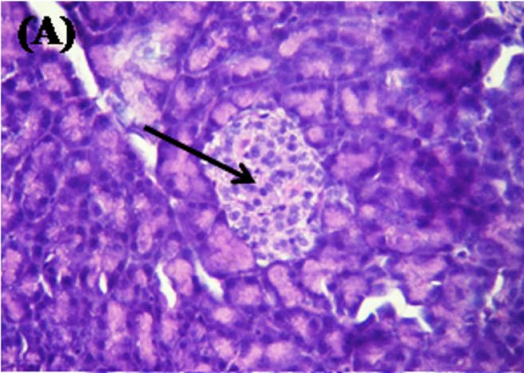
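A rounded, well-demarcated pancreatic islet sits within exocrine pancreatic tissue. Its cells are small and closely packed, with round dark nuclei and pale pink cytoplasm, so the islet stands out as a light patch against the surroundings. Around it the acinar cells are grouped into small clusters, their cytoplasm staining deep purple with paler pink apical zones. Thin clefts of connective tissue run between the lobules. The islet border is smooth and the tissue looks orderly, consistent with intact islet architecture within the surrounding acinar parenchyma.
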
